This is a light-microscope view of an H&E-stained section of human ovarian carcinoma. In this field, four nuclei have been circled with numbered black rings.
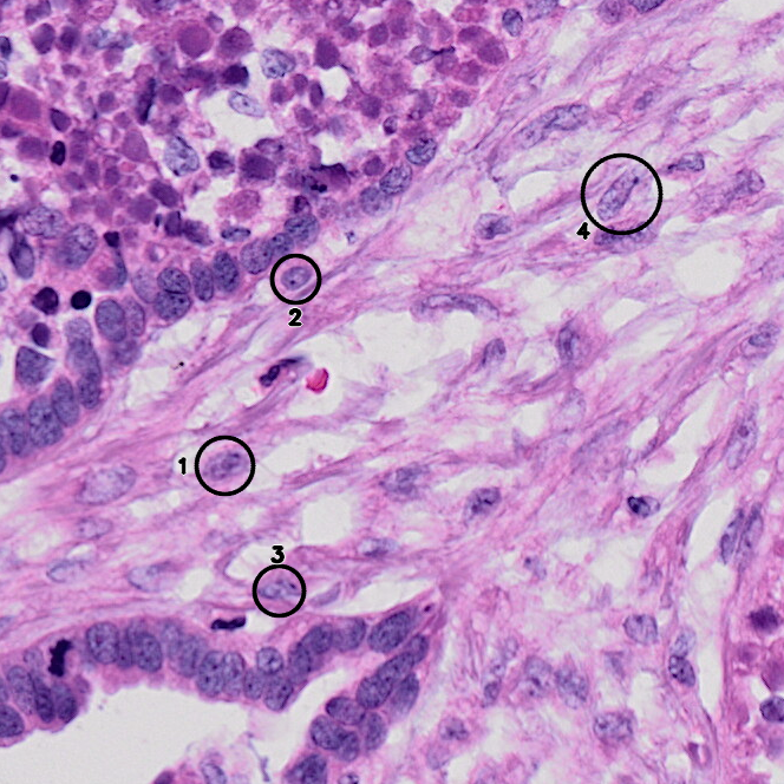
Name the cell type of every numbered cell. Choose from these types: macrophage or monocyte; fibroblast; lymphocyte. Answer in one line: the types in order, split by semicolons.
fibroblast; macrophage or monocyte; fibroblast; fibroblast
